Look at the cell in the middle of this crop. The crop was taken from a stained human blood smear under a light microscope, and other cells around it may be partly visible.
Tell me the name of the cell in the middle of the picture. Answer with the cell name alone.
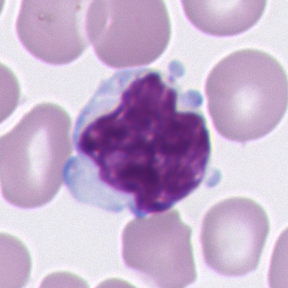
typical lymphocyte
